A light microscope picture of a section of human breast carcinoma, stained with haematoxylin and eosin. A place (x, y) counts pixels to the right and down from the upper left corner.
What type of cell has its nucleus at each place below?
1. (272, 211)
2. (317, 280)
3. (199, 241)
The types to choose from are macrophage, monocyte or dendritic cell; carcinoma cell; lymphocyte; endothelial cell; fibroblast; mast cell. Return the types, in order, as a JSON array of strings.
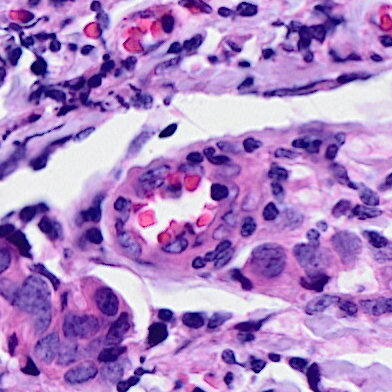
["lymphocyte", "carcinoma cell", "endothelial cell"]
